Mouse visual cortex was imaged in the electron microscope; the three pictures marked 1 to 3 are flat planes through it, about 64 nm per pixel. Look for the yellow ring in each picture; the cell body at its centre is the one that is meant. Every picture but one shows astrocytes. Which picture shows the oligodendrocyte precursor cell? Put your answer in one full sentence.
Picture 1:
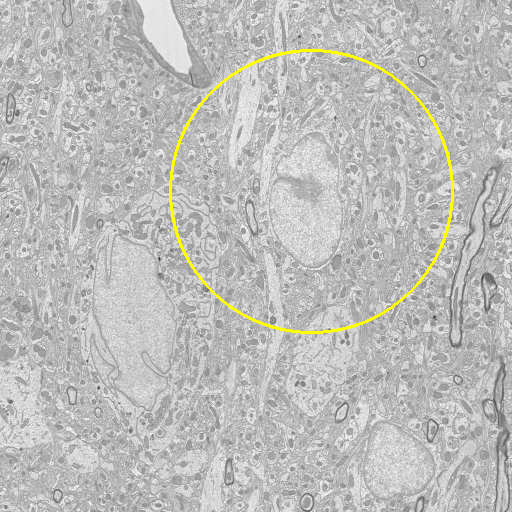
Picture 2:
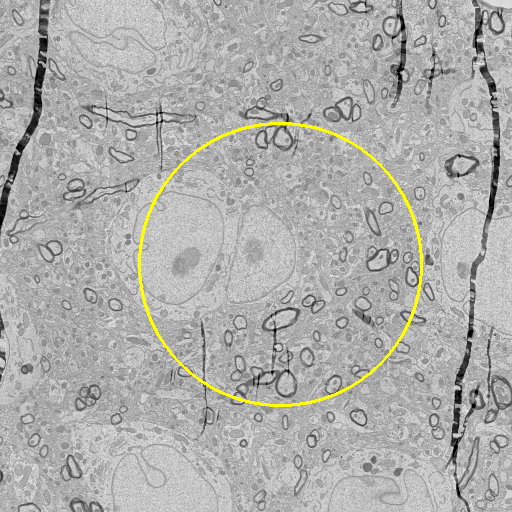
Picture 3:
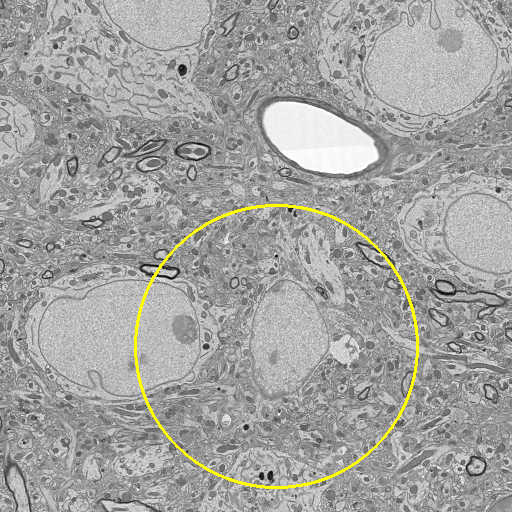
It is picture 2 that shows the oligodendrocyte precursor cell.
